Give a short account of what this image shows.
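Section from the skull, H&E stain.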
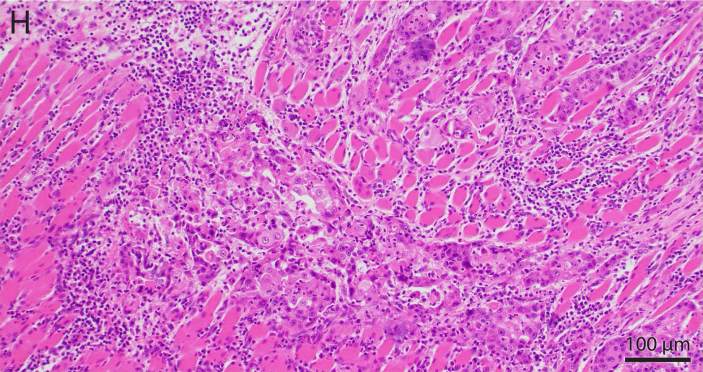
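This section shows skeletal muscle invaded by neoplastic epithelial cells. Bright pink, elongated muscle fibres run roughly diagonally across the field. Many of them are separated, shortened and fragmented. Between them lie cords, islands and small clusters of larger polygonal cells. These cells have moderate amounts of pale to moderately pink cytoplasm and round to oval nuclei, some with visible nucleoli. Scattered among both are numerous small cells with dark round nuclei and scant cytoplasm, densest in patches. The normal parallel arrangement of the muscle is broken up where the epithelial cells infiltrate.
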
